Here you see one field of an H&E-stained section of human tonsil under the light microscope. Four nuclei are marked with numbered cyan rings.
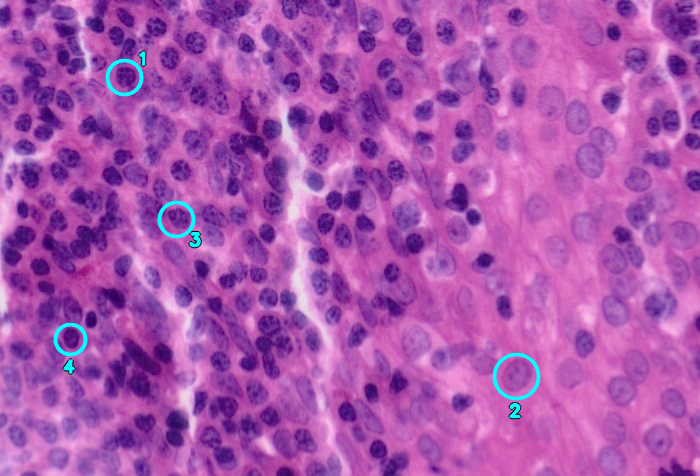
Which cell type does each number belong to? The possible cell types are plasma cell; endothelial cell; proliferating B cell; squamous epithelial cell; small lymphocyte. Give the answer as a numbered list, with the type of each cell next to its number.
1. plasma cell
2. squamous epithelial cell
3. plasma cell
4. plasma cell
